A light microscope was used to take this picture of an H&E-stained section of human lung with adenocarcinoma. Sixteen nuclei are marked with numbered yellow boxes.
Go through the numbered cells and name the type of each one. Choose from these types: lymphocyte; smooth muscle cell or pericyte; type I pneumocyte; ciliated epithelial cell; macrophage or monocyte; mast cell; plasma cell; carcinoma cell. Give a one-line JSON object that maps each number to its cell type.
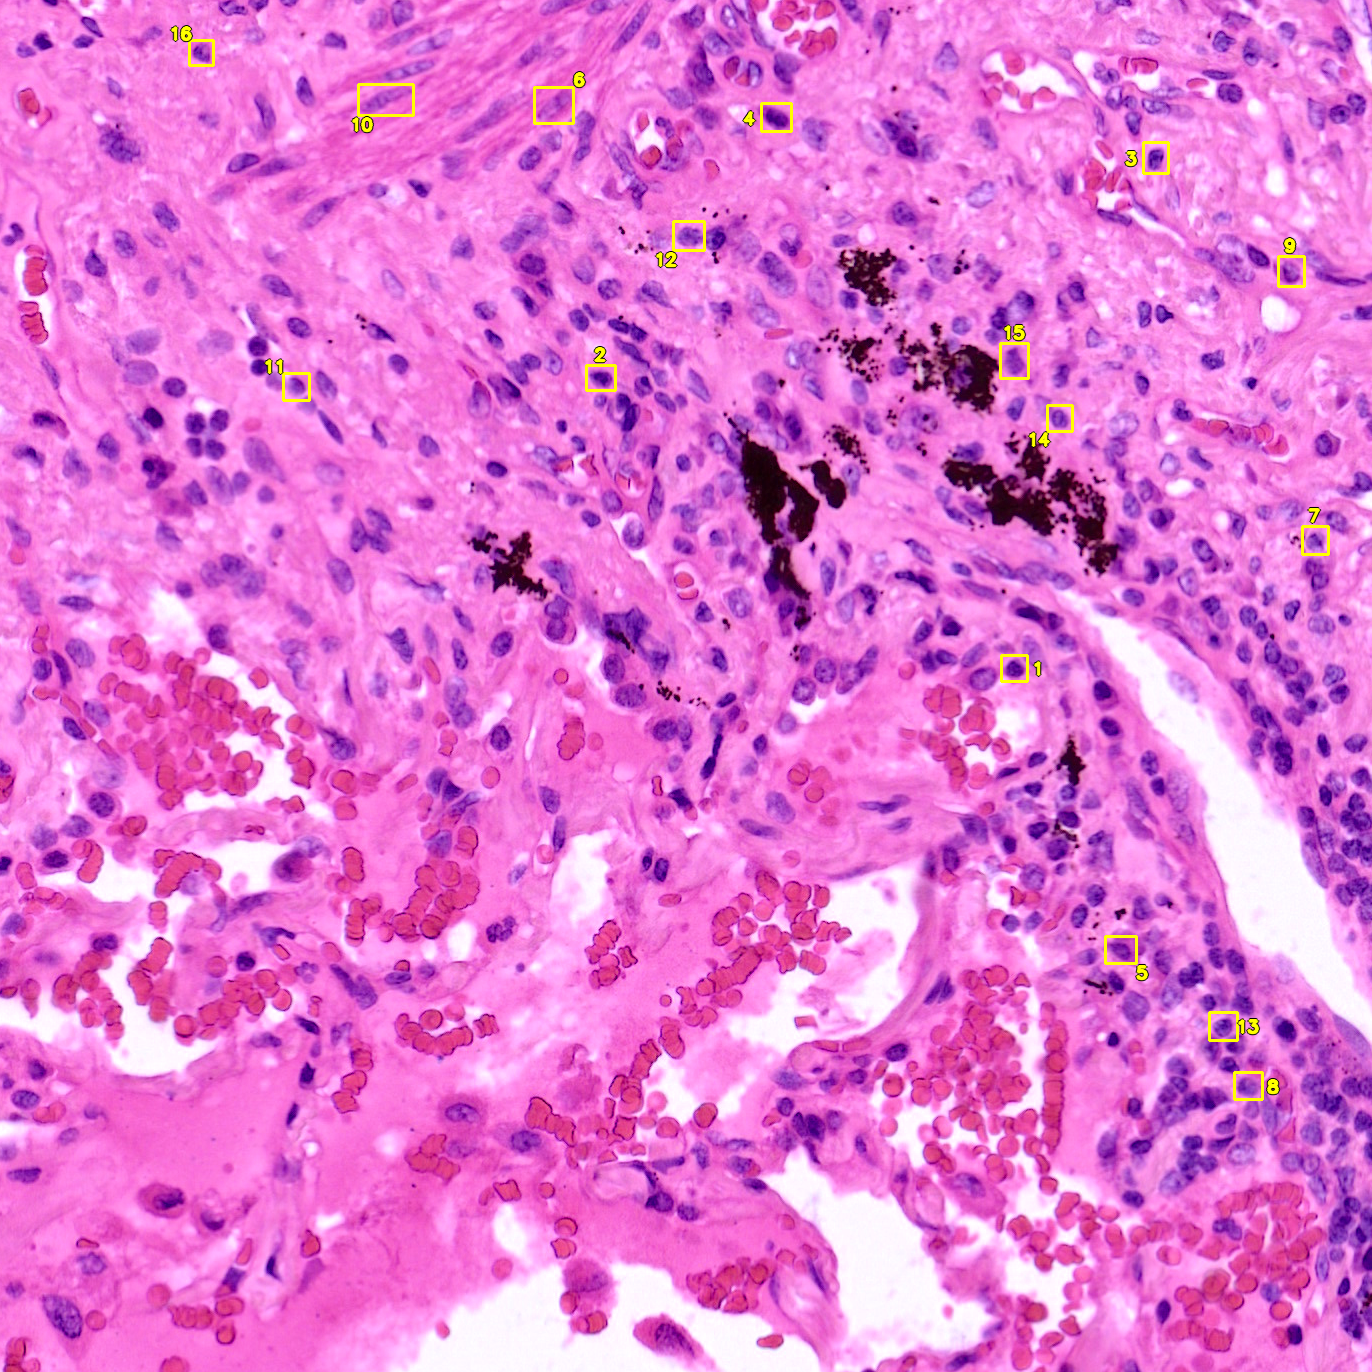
{"1": "lymphocyte", "2": "lymphocyte", "3": "lymphocyte", "4": "plasma cell", "5": "plasma cell", "6": "smooth muscle cell or pericyte", "7": "lymphocyte", "8": "lymphocyte", "9": "plasma cell", "10": "smooth muscle cell or pericyte", "11": "lymphocyte", "12": "lymphocyte", "13": "lymphocyte", "14": "lymphocyte", "15": "plasma cell", "16": "mast cell"}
